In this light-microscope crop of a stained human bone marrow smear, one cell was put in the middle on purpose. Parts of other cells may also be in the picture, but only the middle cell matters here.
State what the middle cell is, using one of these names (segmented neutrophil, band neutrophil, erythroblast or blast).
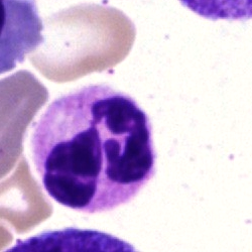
segmented neutrophil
